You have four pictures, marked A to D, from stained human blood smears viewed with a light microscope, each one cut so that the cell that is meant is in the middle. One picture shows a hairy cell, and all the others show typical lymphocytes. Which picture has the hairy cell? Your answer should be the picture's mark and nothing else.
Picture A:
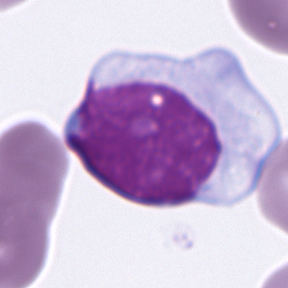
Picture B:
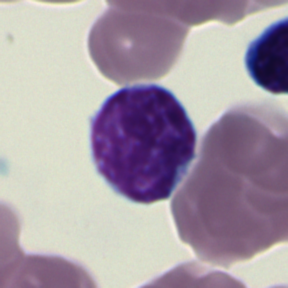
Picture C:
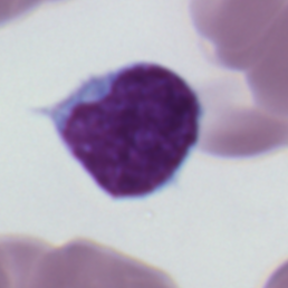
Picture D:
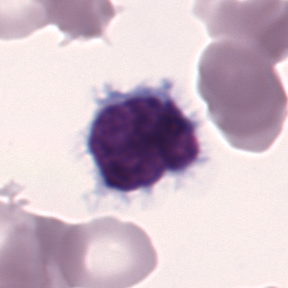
D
